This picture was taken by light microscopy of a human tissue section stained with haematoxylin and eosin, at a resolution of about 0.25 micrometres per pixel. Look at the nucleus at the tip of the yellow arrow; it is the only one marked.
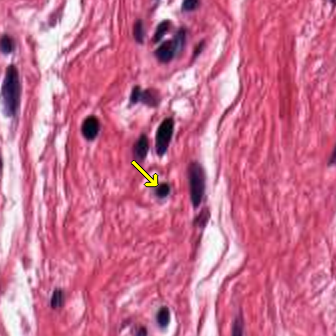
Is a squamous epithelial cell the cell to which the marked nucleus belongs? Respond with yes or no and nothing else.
no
